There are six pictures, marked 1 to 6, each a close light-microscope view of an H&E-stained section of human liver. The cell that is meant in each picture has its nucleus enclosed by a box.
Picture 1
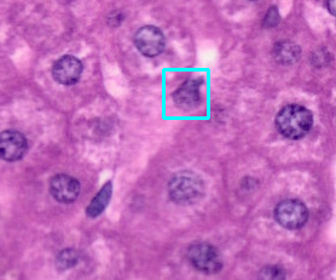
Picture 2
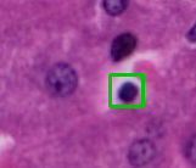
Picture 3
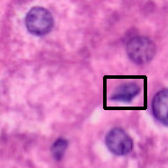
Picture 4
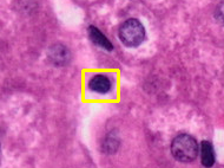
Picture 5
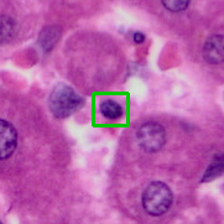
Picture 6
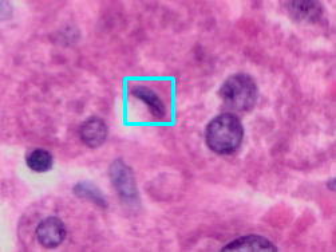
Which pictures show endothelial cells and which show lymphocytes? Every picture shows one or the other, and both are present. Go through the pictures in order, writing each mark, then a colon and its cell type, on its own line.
1: endothelial cell
2: lymphocyte
3: endothelial cell
4: lymphocyte
5: lymphocyte
6: endothelial cell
